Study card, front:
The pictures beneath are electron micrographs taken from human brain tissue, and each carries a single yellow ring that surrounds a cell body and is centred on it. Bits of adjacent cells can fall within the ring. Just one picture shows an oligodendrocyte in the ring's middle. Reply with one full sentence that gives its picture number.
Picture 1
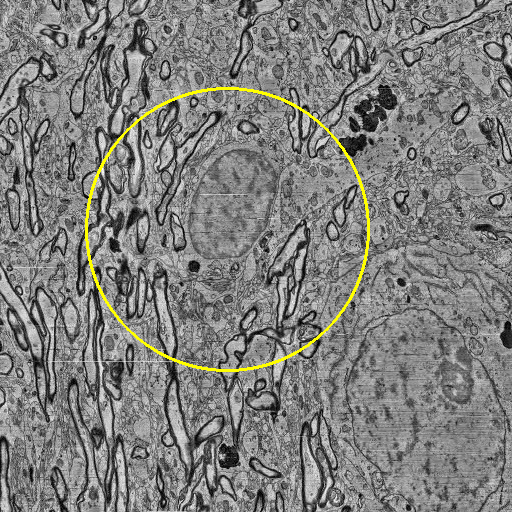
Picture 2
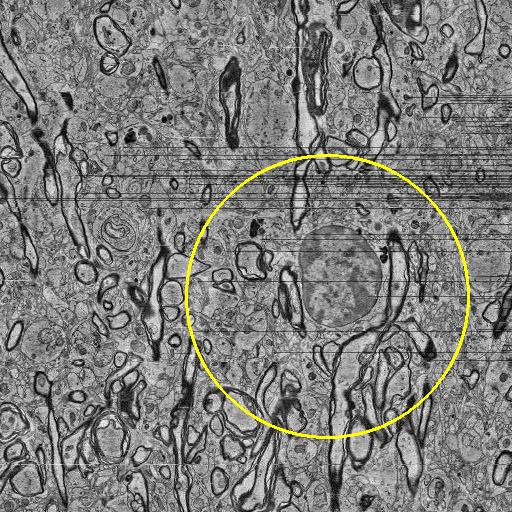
Picture 1 is the one whose ring has the requested cell at its centre.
